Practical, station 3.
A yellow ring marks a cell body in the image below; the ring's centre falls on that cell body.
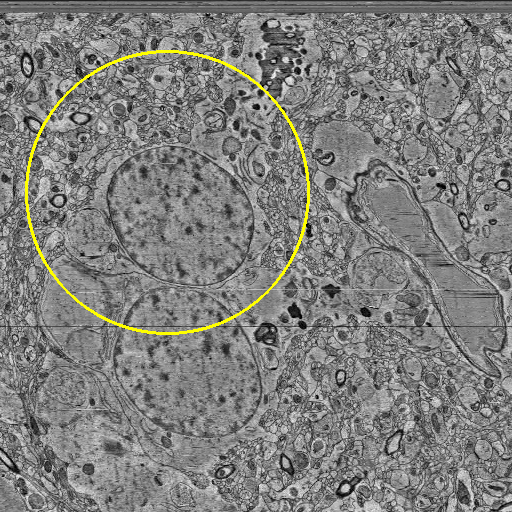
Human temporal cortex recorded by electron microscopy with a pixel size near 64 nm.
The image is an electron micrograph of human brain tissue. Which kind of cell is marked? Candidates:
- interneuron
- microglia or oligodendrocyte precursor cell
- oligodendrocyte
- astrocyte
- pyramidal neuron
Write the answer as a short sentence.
The marked cell body is that of an astrocyte.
